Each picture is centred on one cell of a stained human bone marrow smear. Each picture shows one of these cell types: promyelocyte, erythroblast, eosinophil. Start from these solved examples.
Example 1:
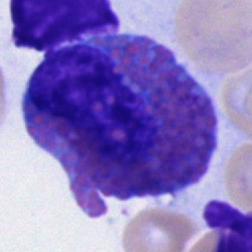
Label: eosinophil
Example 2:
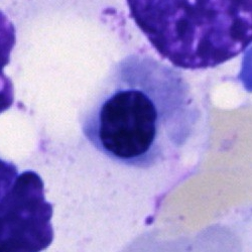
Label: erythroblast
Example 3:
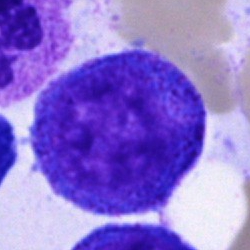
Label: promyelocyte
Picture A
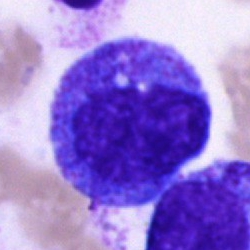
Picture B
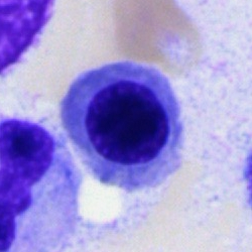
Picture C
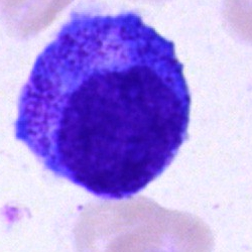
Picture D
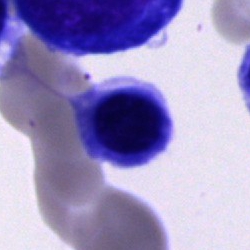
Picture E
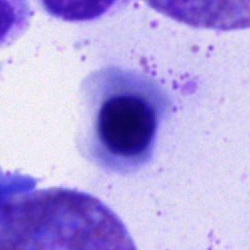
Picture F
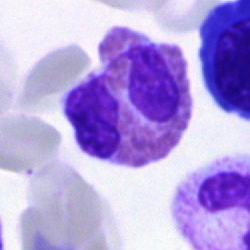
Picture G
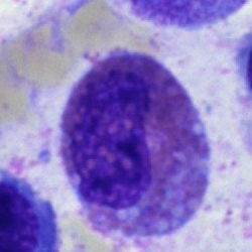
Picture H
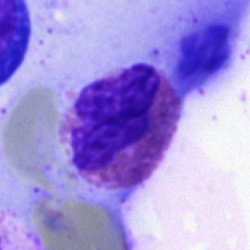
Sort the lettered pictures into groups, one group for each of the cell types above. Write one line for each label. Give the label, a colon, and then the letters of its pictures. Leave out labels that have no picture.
promyelocyte: A, C
erythroblast: B, D, E
eosinophil: F, G, H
